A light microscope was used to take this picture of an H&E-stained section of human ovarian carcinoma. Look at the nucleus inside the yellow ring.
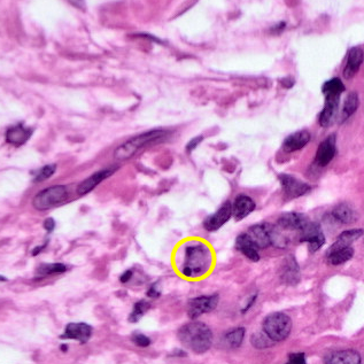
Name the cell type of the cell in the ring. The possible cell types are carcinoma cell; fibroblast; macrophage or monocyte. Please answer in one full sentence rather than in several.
In this tissue section, the cell in the ring is to be classed as a macrophage or monocyte.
